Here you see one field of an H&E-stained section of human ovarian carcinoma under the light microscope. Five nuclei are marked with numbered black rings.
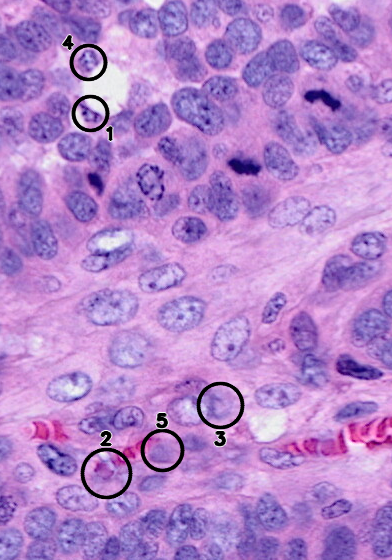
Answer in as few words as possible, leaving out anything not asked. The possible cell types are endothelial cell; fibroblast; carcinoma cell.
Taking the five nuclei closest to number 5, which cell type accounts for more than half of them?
endothelial cell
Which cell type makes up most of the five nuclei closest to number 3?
fibroblast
